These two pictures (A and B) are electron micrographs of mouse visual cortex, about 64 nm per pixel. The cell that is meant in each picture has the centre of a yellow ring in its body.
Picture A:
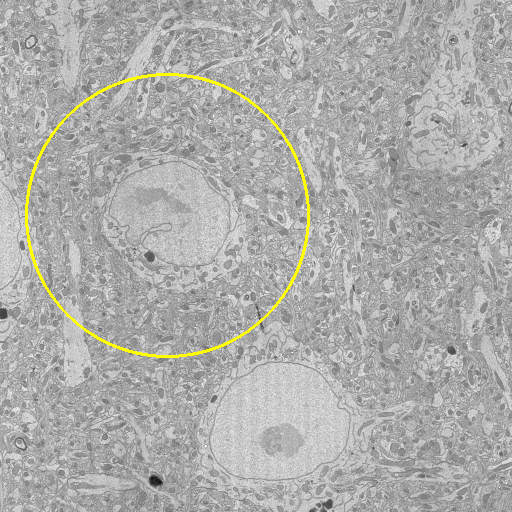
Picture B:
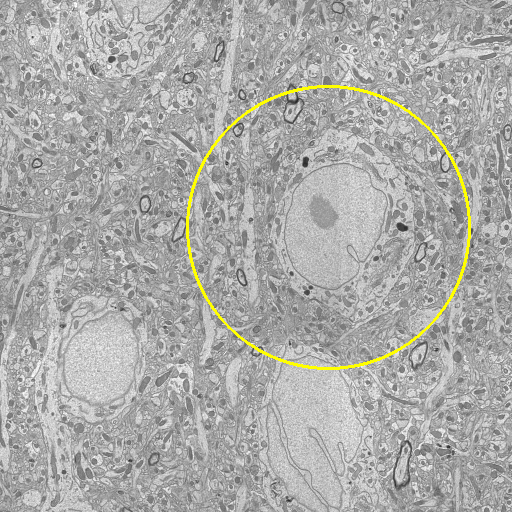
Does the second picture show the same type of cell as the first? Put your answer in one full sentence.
No, they differ: the cell is an inhibitory neuron in picture A and an excitatory neuron in picture B.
